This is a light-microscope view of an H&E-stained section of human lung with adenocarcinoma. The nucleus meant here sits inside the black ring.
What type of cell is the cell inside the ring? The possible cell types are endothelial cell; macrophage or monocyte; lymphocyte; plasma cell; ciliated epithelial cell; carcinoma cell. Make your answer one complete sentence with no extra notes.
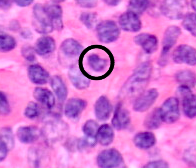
Cytologically, the cell inside the ring is to be regarded as a lymphocyte.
